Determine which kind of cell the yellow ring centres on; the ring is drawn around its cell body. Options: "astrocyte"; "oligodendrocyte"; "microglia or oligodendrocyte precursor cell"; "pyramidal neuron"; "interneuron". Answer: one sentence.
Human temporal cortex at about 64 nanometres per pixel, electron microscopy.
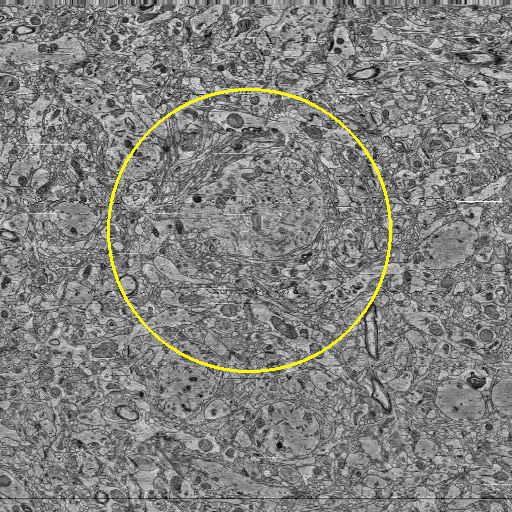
The ring centres on a microglial cell or oligodendrocyte precursor cell.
